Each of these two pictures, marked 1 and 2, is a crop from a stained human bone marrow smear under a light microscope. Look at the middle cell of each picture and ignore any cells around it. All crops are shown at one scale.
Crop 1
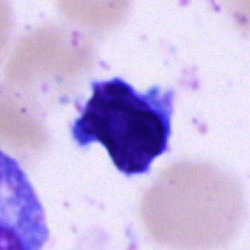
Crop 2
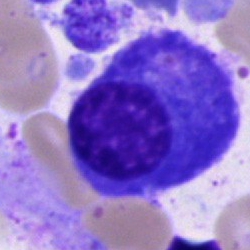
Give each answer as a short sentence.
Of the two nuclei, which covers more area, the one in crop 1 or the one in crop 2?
Larger is the nucleus in crop 2, at roughly 1.5 times the area of the other.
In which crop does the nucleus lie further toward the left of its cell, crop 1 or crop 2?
In crop 2 the nucleus is shifted more toward the left.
